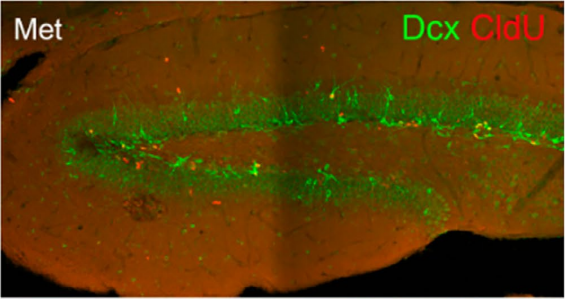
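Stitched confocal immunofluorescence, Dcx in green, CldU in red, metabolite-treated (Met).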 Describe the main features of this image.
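This is a section of the dentate gyrus, where the densely packed granule cell layer forms a curved band with two blades. Along the inner edge of the band, at the subgranular zone, sit many small green cell bodies whose processes run radially up through the granule cell layer. Several small red nuclei lie along the same inner edge, some of them overlapping the green cell bodies and appearing yellowish.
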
